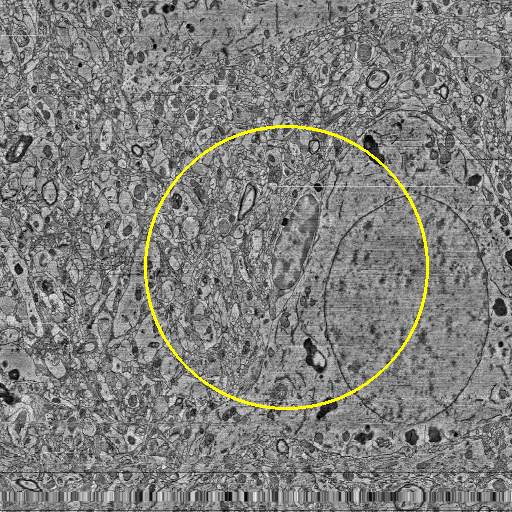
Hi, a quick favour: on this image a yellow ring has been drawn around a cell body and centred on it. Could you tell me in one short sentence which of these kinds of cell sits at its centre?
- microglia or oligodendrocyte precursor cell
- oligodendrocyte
The ring is centred on a microglial cell or oligodendrocyte precursor cell.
